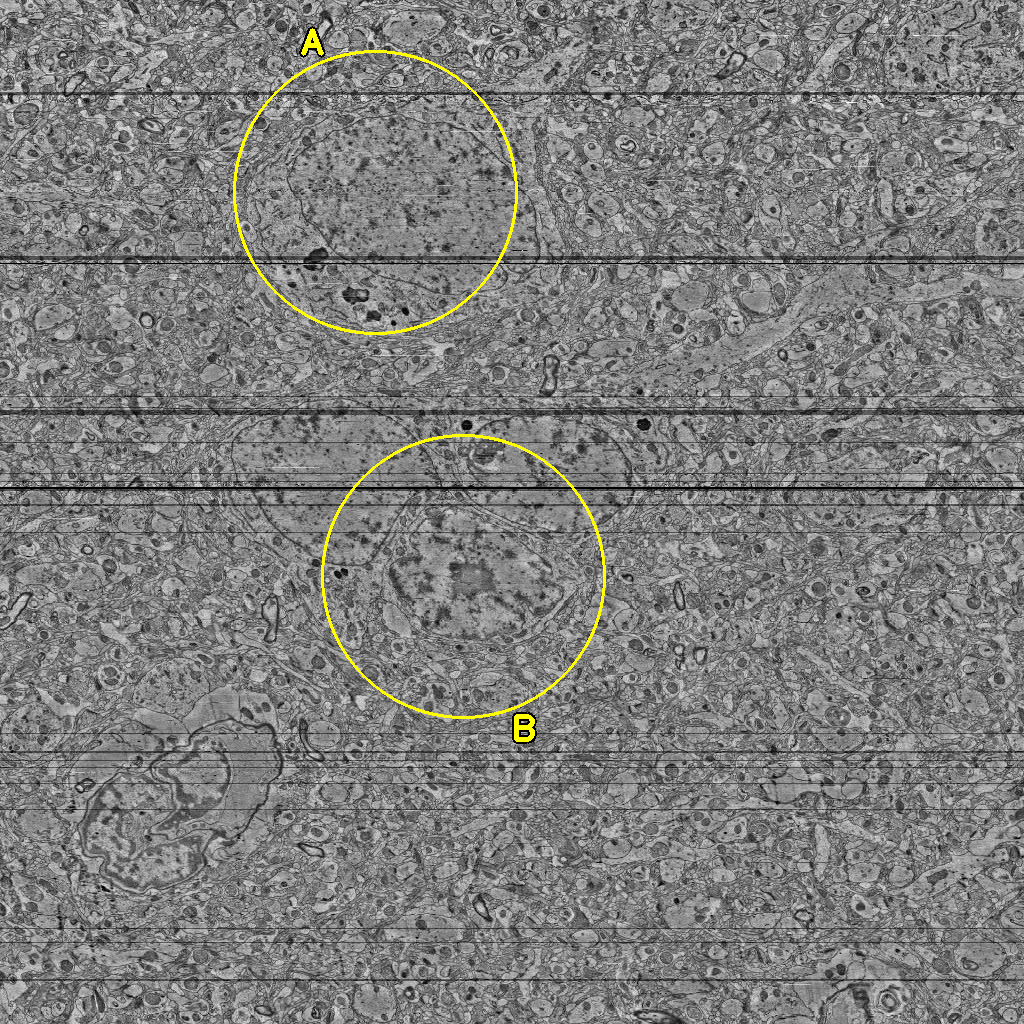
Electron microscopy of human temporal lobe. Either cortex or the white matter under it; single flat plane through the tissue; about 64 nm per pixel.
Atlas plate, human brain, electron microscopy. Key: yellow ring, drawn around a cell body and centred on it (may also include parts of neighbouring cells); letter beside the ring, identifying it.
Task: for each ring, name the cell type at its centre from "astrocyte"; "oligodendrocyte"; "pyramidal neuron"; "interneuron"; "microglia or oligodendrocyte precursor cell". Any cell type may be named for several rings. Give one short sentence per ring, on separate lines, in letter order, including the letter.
Ring A is centred over a pyramidal neuron.
Ring B is centred over an interneuron.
